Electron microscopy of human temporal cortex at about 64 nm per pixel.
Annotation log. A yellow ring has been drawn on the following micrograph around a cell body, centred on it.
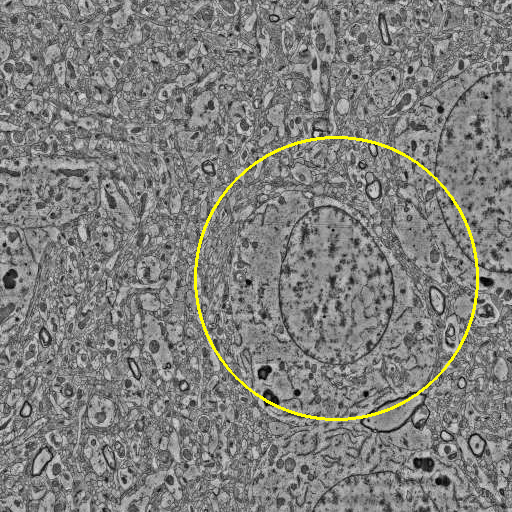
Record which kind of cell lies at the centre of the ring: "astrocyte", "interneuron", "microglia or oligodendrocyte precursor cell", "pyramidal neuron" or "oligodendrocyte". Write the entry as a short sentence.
The cell the ring is centred on is a pyramidal neuron.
